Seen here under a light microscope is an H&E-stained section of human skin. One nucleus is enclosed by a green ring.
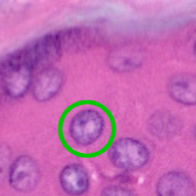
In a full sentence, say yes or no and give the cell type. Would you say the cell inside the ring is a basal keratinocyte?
No, it is not as a basal keratinocyte but as a suprabasal keratinocyte that the cell inside the ring is classed.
